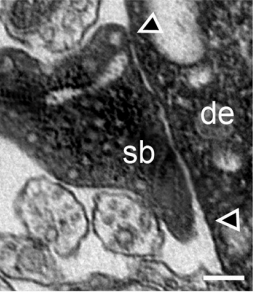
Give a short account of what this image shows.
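The bouton is an elongated, very electron-dense profile that lies along the left side of the dendrite. Arrowheads at its upper and lower ends mark the extent of the synaptic apposition. The surrounding neuropil is made up of small rounded profiles cut in cross-section.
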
